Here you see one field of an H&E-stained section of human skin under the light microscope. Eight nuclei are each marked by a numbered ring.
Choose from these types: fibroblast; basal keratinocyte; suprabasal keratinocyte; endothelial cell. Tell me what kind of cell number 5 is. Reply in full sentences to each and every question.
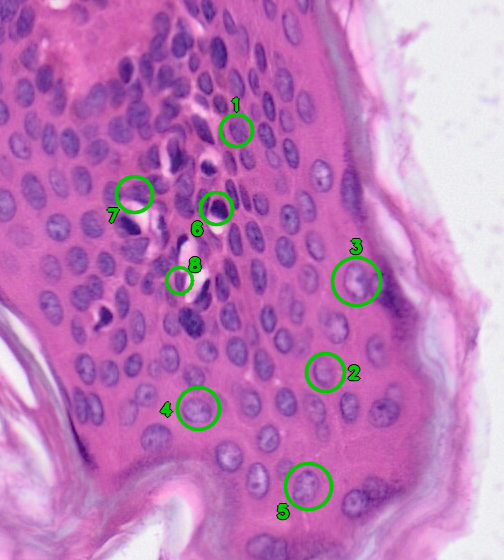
The cell that goes by number 5 is a suprabasal keratinocyte.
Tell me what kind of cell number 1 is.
The cell marked with the number 1 is a basal keratinocyte.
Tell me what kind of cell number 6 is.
The cell pointed out by number 6 is a basal keratinocyte.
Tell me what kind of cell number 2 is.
The cell marked with the number 2 is a suprabasal keratinocyte.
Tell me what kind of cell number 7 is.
The marked cell bearing number 7 is a basal keratinocyte.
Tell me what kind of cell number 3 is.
The cell with the number 3 is a suprabasal keratinocyte.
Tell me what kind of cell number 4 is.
The label 4 in this section denotes a suprabasal keratinocyte.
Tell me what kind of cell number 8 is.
Among the marked nuclei, number 8 belongs to a basal keratinocyte.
